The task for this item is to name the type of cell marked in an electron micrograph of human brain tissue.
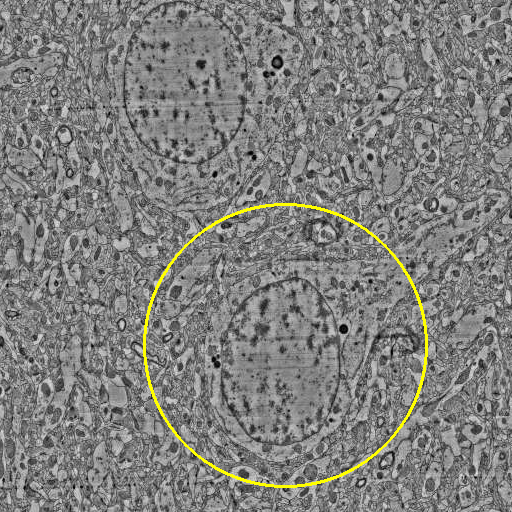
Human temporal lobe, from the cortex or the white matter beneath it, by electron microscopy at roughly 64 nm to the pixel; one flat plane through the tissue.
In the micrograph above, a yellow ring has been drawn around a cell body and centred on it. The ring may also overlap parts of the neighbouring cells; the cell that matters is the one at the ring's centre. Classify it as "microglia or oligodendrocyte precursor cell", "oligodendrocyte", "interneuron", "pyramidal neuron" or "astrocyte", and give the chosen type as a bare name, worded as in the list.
pyramidal neuron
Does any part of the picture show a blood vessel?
No, there is no blood vessel in the image.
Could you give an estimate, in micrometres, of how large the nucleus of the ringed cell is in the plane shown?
Approximately 11 micrometres long and 8 micrometres wide, in this plane.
